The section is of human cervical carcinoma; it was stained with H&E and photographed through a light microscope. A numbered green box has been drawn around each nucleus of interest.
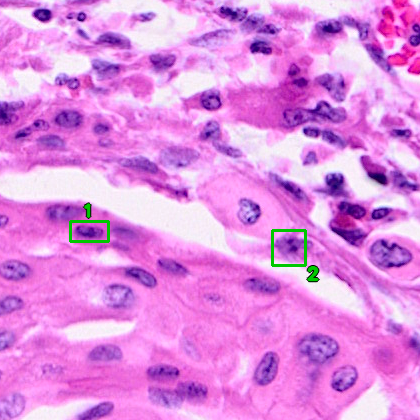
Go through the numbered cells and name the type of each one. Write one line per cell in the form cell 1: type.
cell 1: squamous carcinoma cell
cell 2: macrophage or monocyte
